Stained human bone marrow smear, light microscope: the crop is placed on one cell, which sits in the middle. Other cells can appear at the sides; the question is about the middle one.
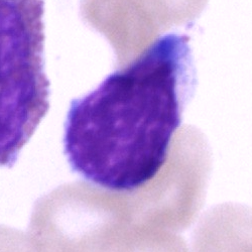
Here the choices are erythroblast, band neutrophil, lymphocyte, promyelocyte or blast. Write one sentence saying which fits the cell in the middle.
The center cell of this crop is a lymphocyte.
